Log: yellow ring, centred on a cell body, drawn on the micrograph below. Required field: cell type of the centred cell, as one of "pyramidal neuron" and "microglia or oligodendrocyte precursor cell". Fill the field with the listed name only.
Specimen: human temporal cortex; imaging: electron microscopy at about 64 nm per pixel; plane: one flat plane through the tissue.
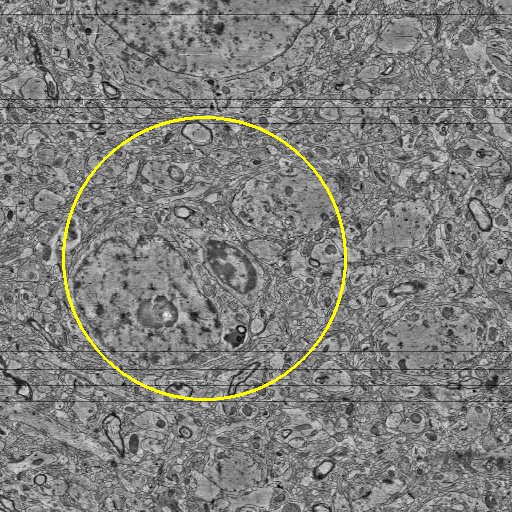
microglia or oligodendrocyte precursor cell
